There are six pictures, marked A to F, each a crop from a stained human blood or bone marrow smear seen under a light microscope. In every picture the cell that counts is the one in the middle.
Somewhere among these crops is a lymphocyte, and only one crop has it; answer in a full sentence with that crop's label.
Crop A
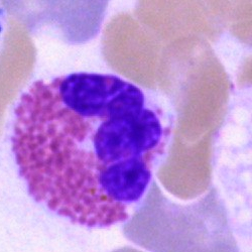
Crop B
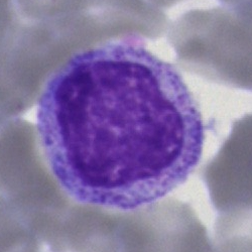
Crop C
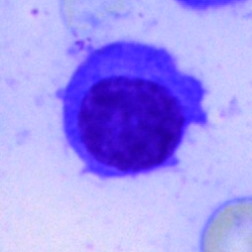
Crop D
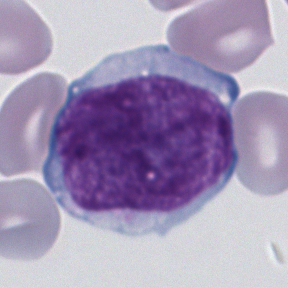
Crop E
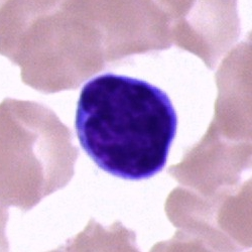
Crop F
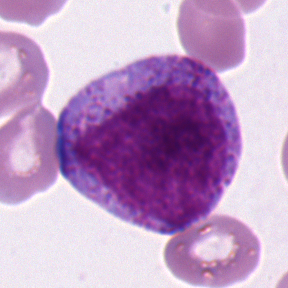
The crop that shows a lymphocyte is crop E.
